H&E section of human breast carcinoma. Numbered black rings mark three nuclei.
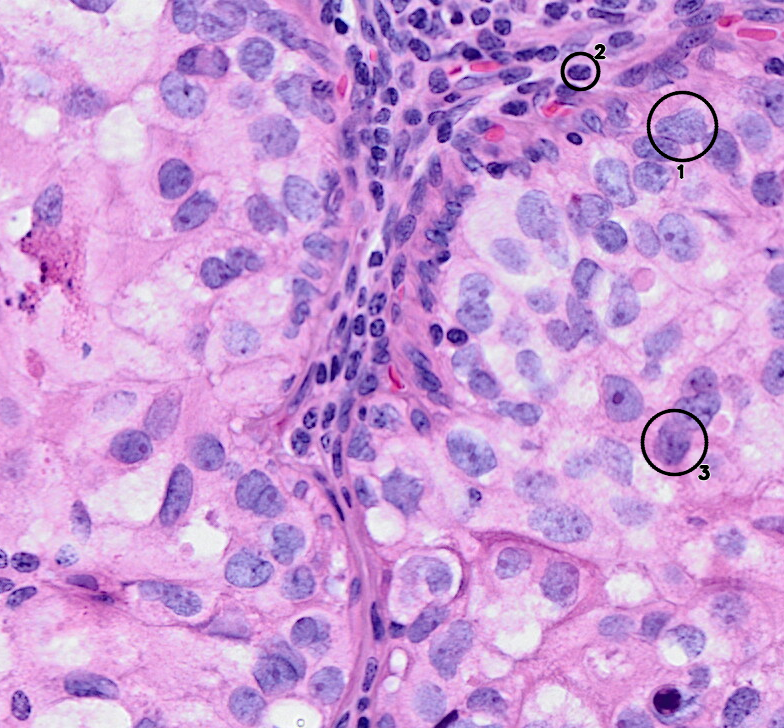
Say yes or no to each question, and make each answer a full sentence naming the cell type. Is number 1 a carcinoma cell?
Yes, on this slide, the cell with number 1 is a carcinoma cell.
